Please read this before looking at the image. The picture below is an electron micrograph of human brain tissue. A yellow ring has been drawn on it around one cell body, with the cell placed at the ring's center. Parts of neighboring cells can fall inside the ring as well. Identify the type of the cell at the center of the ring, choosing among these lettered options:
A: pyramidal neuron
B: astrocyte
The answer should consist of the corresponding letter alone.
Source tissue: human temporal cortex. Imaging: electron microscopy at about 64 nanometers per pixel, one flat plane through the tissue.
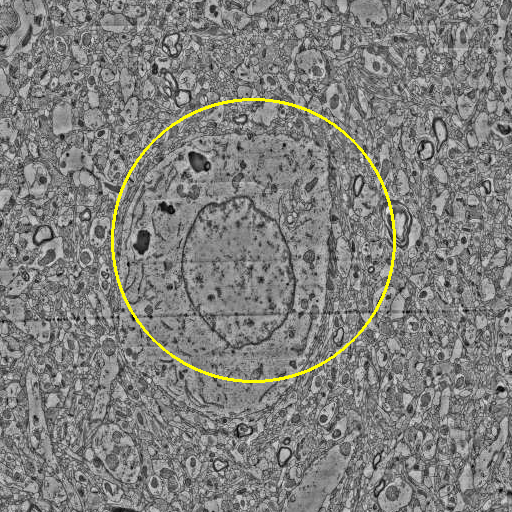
A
